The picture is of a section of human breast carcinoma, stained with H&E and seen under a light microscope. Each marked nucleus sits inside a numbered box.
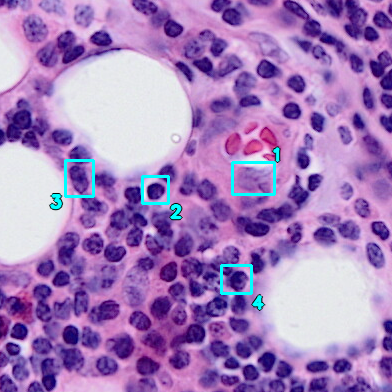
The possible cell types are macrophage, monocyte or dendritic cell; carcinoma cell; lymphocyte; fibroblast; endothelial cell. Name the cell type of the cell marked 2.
lymphocyte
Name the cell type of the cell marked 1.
endothelial cell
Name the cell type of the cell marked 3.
lymphocyte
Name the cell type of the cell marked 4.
lymphocyte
